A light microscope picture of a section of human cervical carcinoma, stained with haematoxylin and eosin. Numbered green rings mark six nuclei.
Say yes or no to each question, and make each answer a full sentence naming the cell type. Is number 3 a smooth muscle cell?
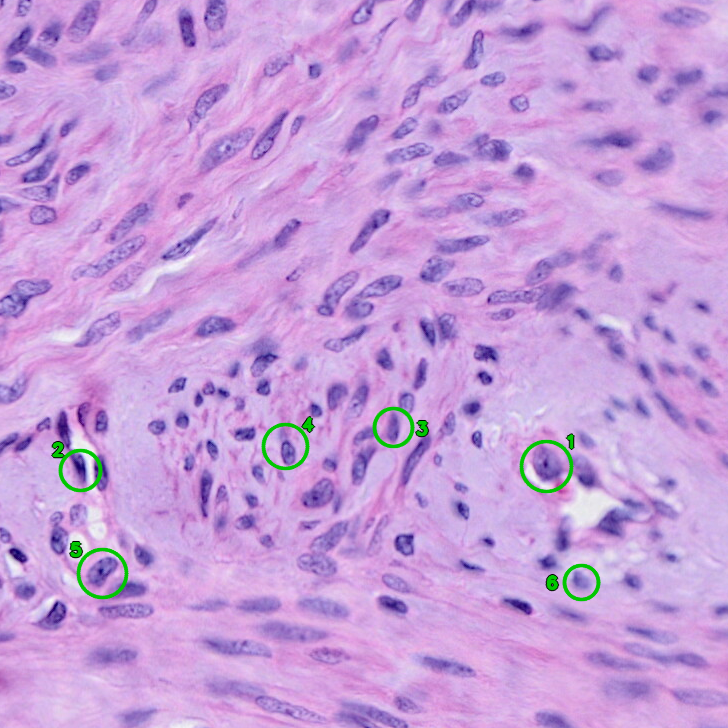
Yes, the cell that bears the number 3 is a smooth muscle cell.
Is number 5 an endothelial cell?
Yes, cell number 5 in this section is an endothelial cell.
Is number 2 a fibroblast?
No, the cell with the number 2 is an endothelial cell, not a fibroblast.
